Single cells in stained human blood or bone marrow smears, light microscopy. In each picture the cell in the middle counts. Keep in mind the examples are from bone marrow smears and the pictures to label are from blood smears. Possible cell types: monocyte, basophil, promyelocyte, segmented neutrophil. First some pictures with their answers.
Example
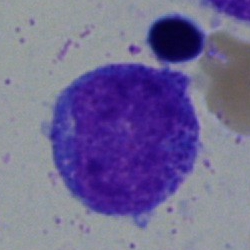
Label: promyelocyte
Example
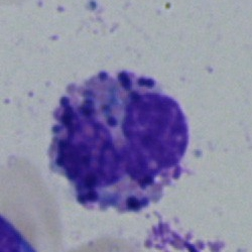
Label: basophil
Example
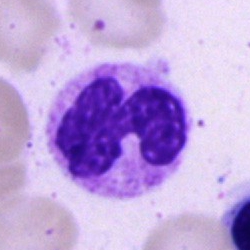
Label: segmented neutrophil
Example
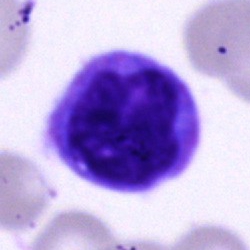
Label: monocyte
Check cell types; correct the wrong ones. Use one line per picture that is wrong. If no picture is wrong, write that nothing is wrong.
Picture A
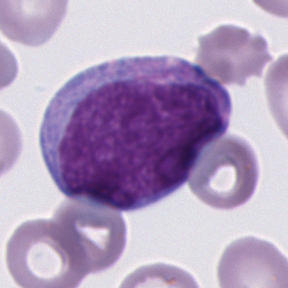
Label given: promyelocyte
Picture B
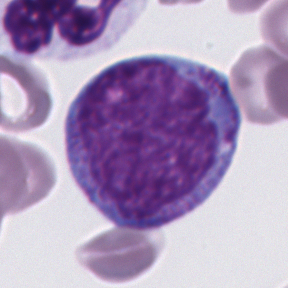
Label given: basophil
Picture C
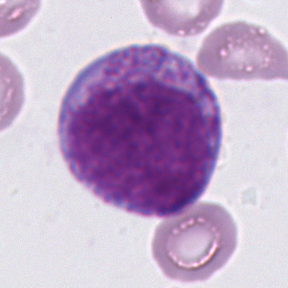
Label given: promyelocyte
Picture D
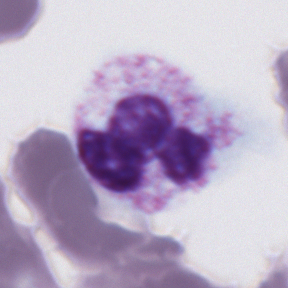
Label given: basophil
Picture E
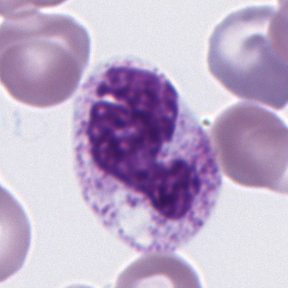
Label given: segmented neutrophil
B: not basophil but promyelocyte
D: not basophil but segmented neutrophil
